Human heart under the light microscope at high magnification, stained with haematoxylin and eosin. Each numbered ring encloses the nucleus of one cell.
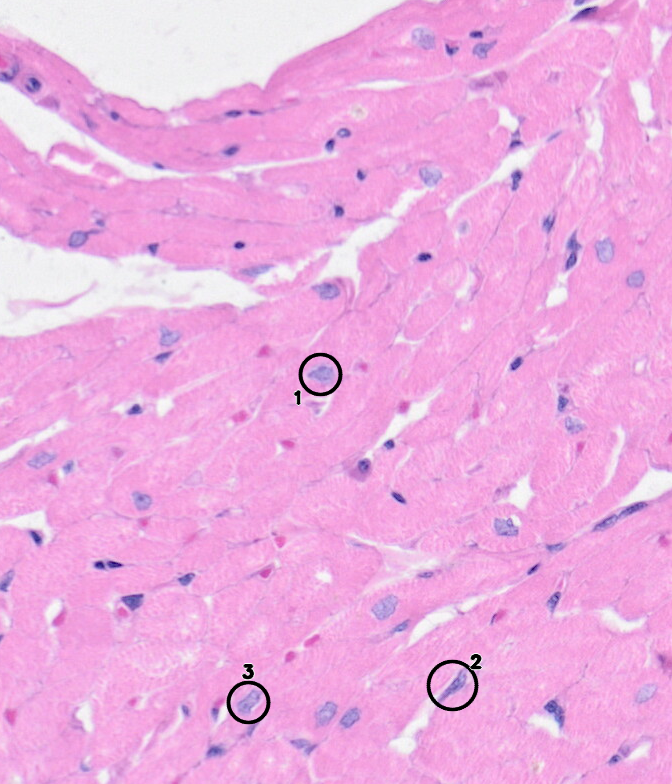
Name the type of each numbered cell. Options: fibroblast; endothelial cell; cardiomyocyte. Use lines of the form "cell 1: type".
cell 1: cardiomyocyte
cell 2: endothelial cell
cell 3: cardiomyocyte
